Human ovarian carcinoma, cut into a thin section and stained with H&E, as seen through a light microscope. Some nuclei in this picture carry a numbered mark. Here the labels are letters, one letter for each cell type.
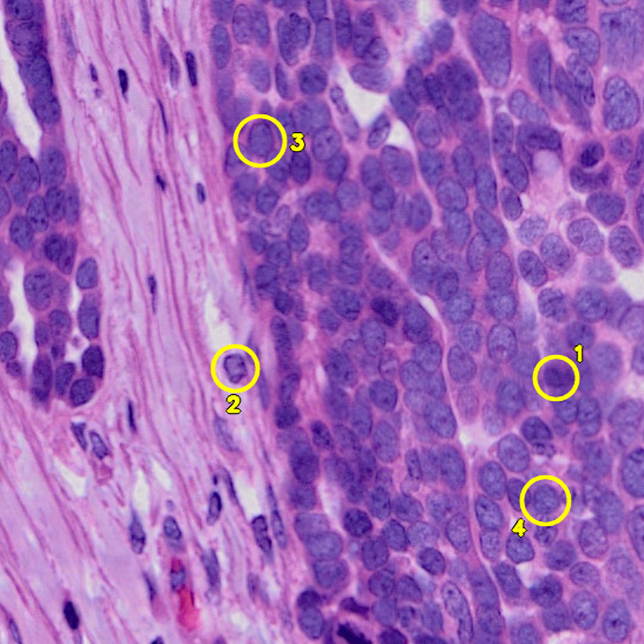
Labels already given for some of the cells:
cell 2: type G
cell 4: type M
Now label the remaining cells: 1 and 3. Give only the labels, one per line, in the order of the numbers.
type M
type M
